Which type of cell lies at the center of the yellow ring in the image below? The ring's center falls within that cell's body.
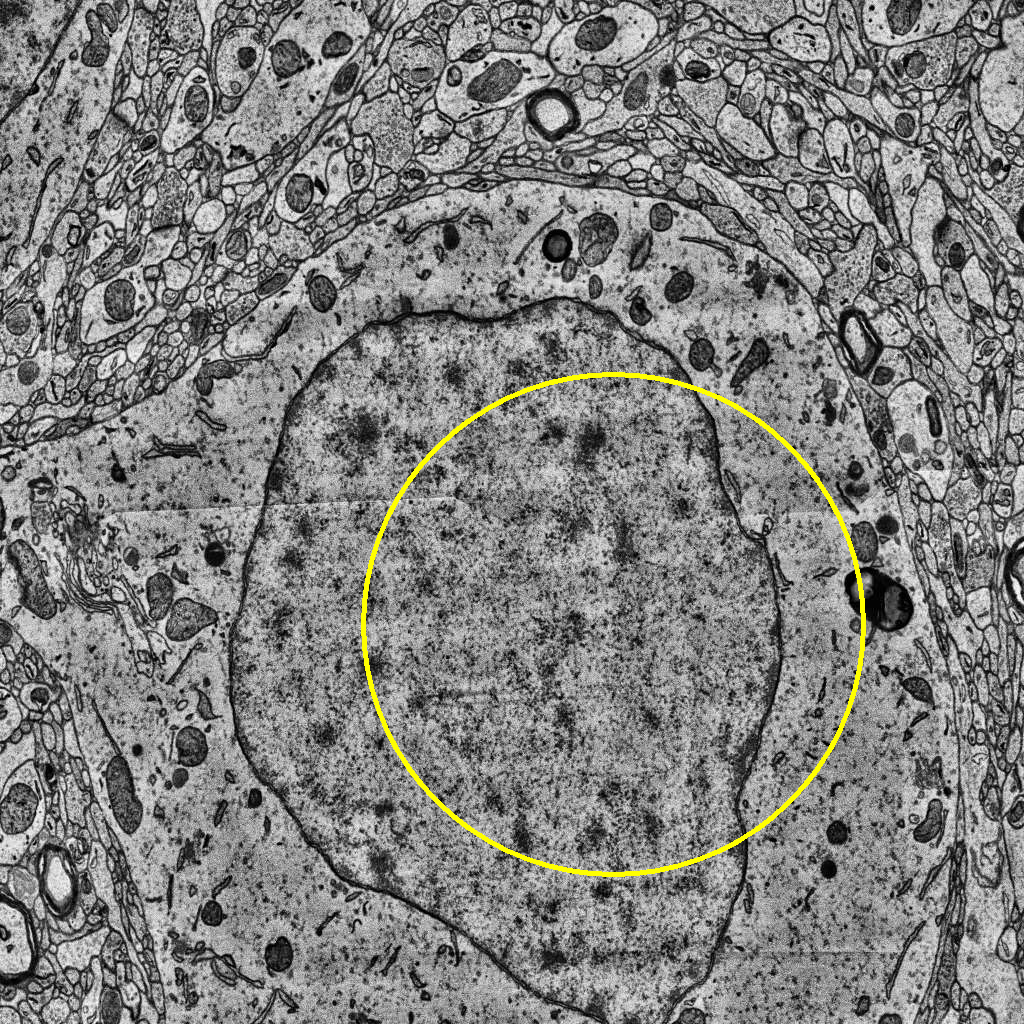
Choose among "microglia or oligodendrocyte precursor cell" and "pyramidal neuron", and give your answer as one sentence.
The cell body at the center belongs to a pyramidal neuron.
